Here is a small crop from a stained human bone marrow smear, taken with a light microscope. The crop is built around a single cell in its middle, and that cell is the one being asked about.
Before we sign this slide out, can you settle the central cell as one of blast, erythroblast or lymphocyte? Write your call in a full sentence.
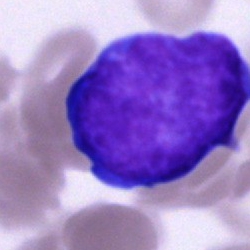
In the centre of this crop there is a blast.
